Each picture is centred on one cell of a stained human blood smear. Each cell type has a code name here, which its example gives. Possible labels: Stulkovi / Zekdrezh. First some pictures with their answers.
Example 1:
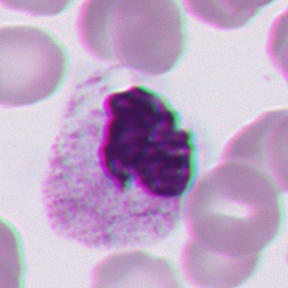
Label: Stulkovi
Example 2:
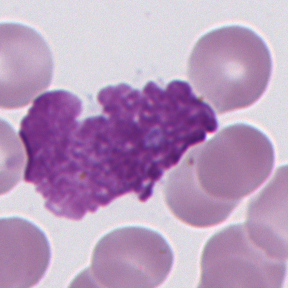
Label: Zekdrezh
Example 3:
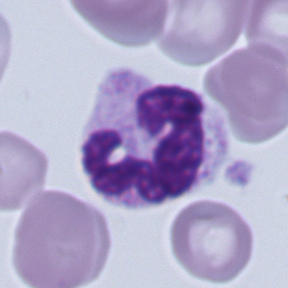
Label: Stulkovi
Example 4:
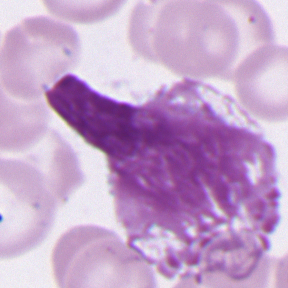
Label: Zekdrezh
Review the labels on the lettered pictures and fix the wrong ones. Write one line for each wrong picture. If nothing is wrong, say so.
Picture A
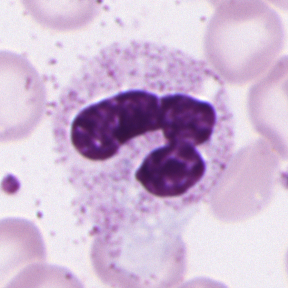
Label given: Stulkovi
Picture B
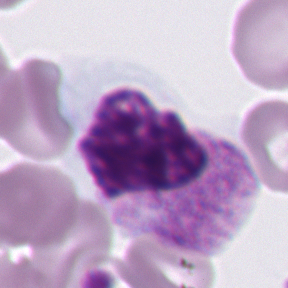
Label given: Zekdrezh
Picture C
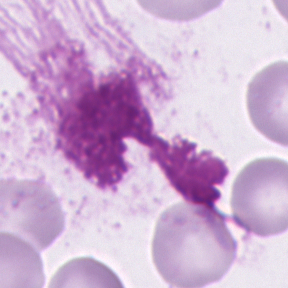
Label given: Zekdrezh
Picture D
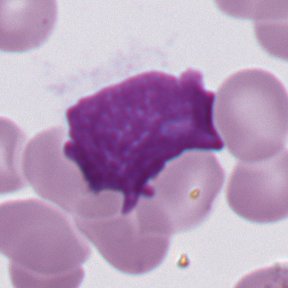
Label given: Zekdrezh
Wrong: B (Zekdrezh); correct: Stulkovi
